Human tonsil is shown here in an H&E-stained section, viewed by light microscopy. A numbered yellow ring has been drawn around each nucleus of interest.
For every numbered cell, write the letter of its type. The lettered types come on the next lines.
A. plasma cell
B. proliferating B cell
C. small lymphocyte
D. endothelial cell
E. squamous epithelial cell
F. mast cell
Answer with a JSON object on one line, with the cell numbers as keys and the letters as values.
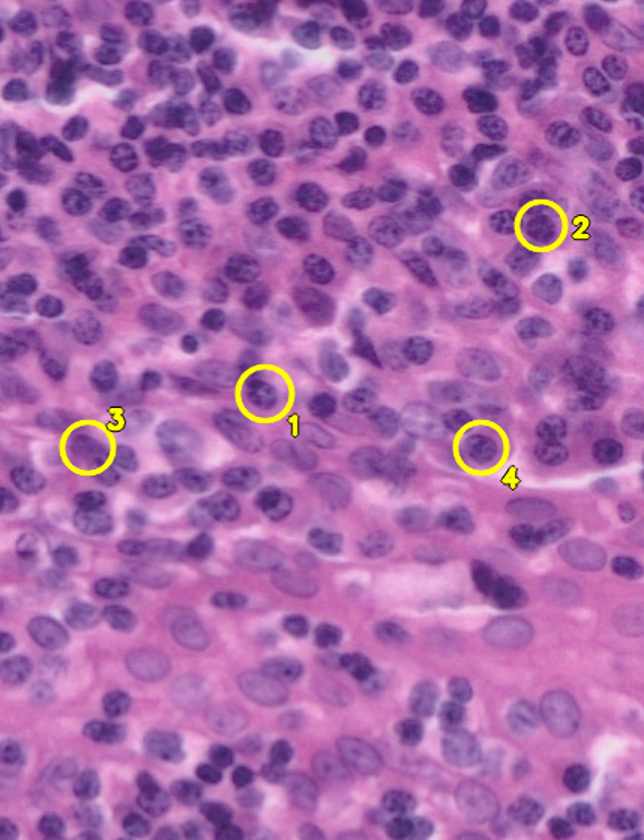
{"1": "A", "2": "A", "3": "E", "4": "A"}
